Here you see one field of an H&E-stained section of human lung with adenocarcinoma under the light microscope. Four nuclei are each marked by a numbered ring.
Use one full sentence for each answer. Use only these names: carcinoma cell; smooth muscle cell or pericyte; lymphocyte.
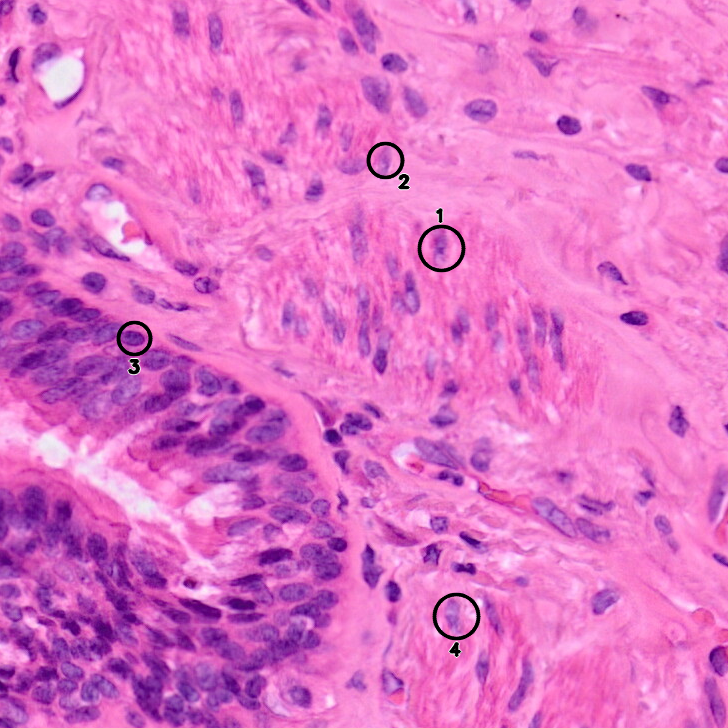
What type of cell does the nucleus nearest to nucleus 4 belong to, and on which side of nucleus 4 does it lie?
It is a smooth muscle cell or pericyte, whose nucleus lies to the right of nucleus 4.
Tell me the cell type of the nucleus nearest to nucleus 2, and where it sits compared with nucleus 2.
It is a smooth muscle cell or pericyte, whose nucleus lies to the left of nucleus 2.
